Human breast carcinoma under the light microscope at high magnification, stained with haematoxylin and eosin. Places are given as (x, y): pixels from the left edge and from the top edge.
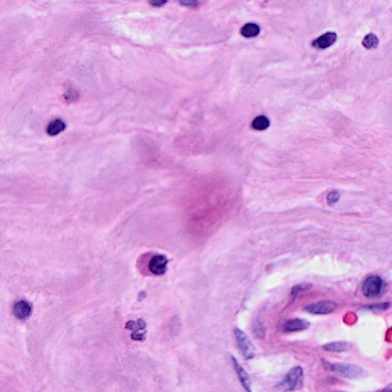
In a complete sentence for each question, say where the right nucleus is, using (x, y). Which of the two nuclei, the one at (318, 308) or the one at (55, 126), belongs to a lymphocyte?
The nucleus that belongs to a lymphocyte is located at (55, 126).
